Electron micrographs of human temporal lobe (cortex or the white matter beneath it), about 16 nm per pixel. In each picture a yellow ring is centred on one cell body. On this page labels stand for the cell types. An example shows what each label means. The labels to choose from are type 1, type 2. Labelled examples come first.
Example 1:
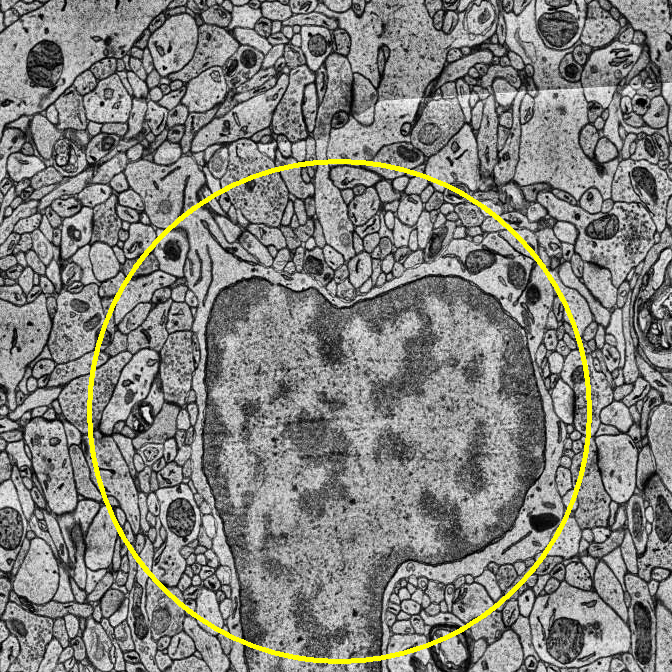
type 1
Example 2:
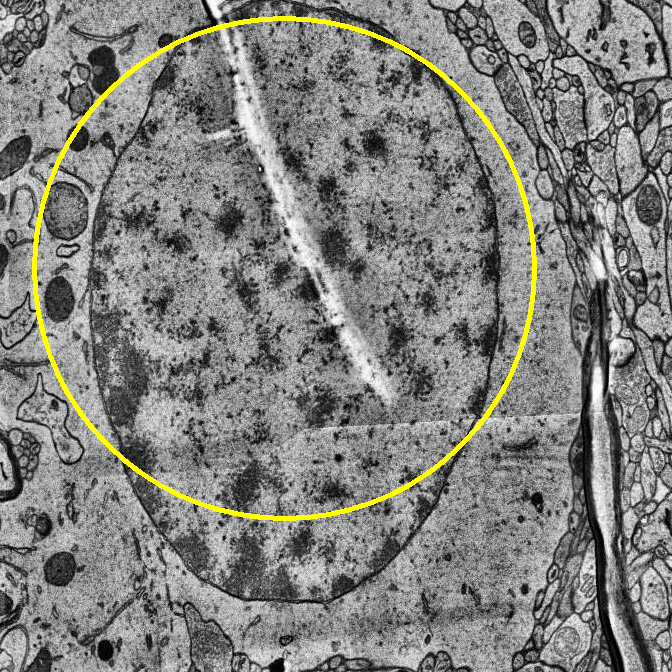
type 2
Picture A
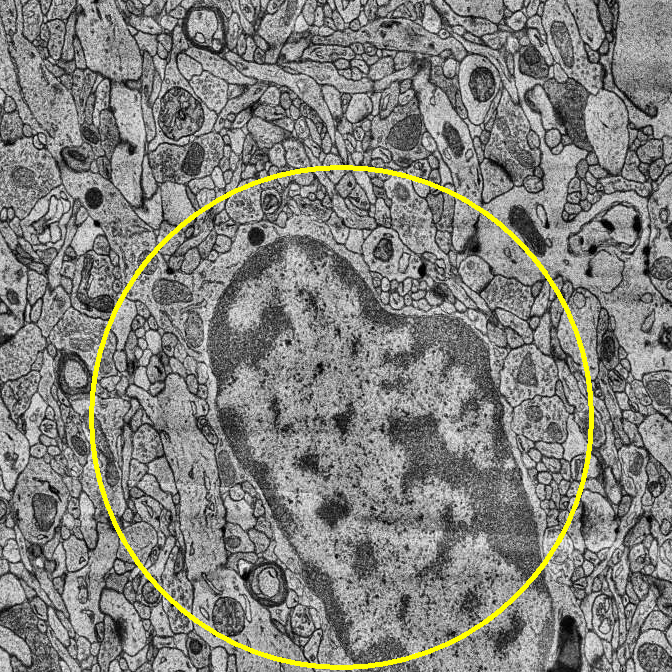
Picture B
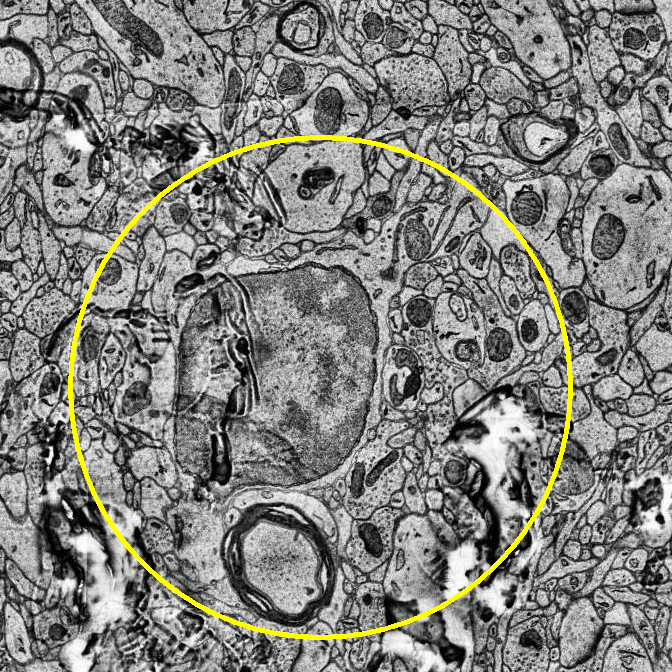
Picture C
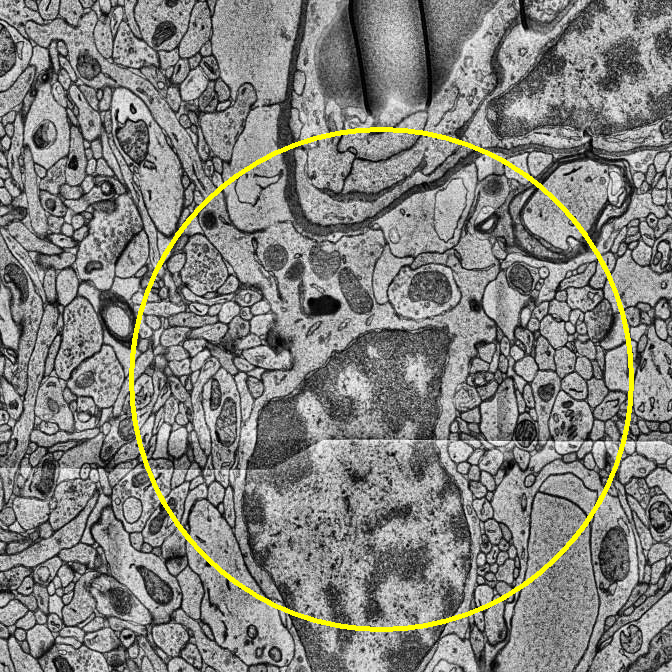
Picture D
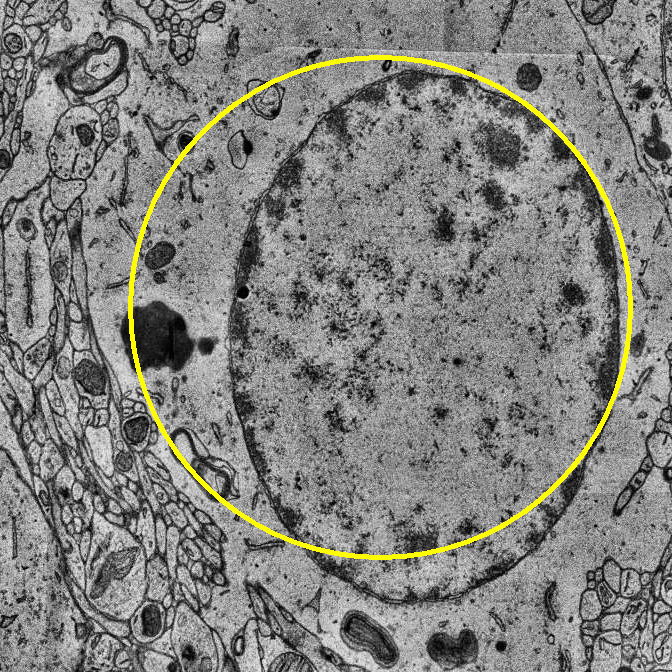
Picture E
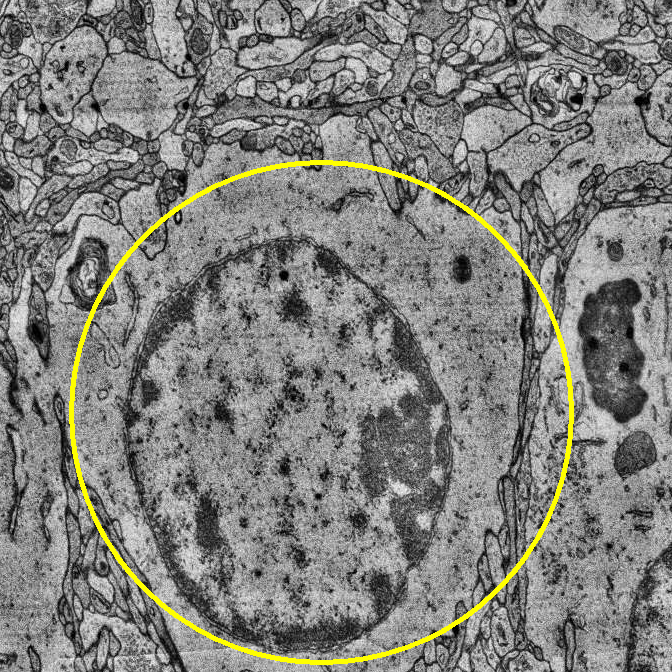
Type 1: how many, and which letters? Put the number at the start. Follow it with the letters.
3, namely A, B, C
